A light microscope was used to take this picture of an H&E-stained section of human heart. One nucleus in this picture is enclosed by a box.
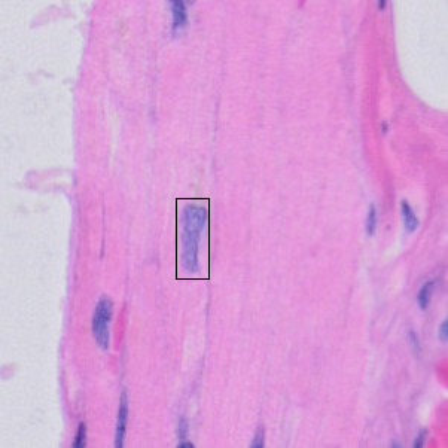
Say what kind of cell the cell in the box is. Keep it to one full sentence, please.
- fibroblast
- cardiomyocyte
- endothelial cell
Considered by cell type, the cell in the box is a cardiomyocyte.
